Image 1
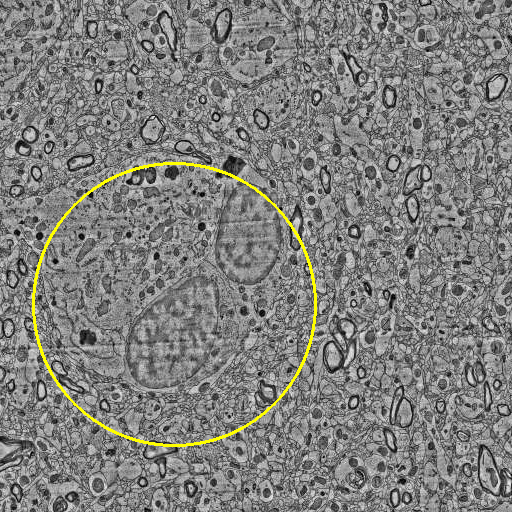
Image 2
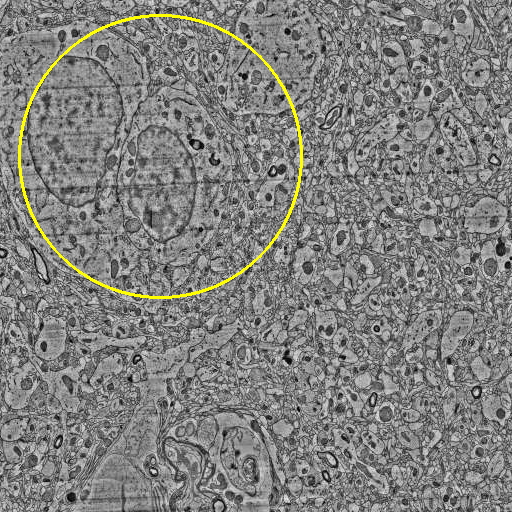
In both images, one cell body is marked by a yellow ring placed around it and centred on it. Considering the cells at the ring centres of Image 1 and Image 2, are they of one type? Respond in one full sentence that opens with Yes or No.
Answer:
No, two types apply to the ring-centred cells of Image 1 and Image 2.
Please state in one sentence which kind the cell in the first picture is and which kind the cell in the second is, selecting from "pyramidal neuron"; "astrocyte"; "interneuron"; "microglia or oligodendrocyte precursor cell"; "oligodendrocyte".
The first ringed cell is an oligodendrocyte, the second ringed cell a pyramidal neuron.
